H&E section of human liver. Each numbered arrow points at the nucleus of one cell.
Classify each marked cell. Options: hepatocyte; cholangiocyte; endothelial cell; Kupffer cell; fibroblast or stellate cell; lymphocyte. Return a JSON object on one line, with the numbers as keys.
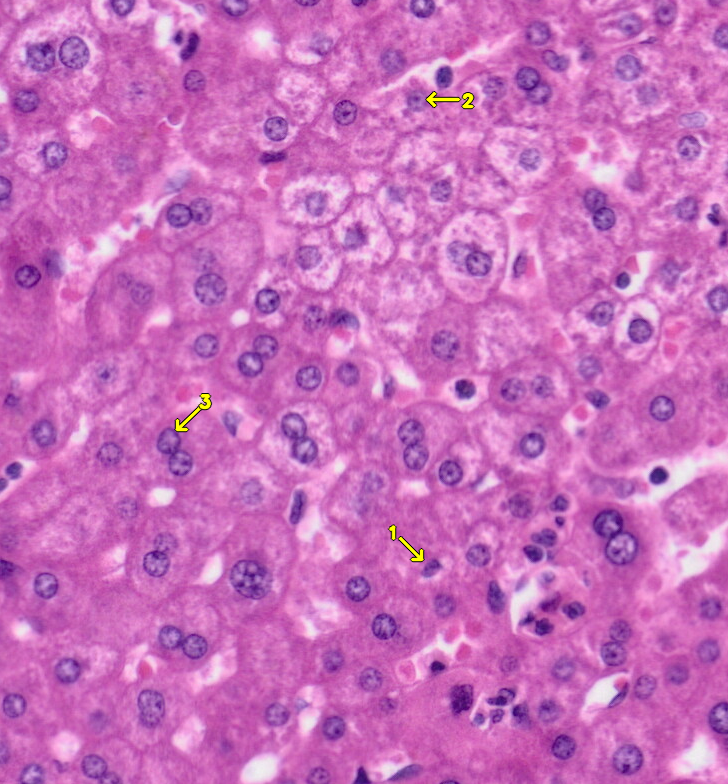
{"1": "endothelial cell", "2": "hepatocyte", "3": "hepatocyte"}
